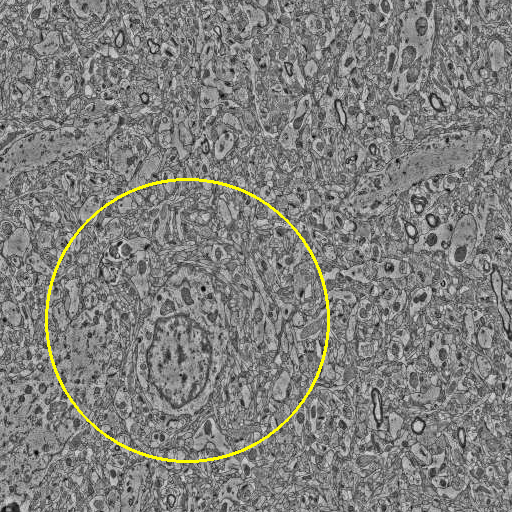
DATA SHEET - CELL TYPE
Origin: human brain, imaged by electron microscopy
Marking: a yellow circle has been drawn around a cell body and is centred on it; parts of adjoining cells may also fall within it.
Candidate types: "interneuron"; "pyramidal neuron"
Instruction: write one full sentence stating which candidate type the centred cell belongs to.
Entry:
The cell body at the centre of the yellow ring in this micrograph belongs to a pyramidal neuron.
